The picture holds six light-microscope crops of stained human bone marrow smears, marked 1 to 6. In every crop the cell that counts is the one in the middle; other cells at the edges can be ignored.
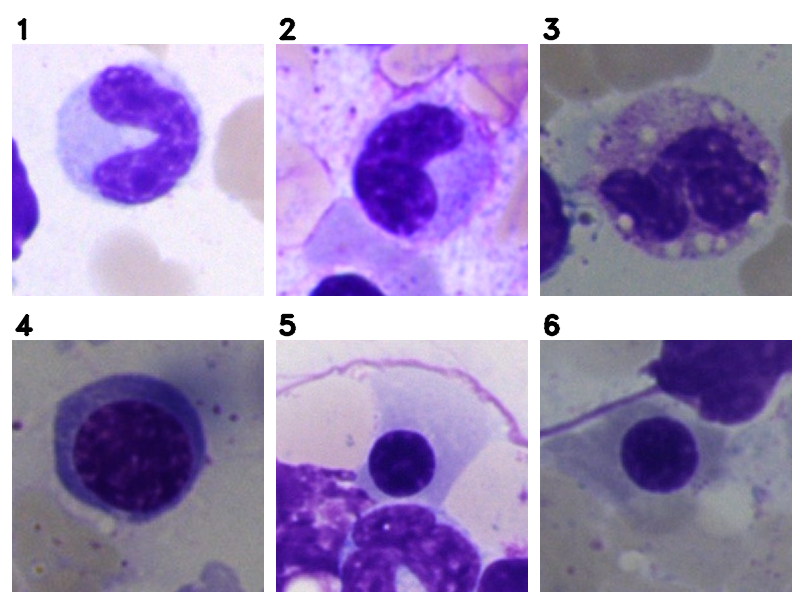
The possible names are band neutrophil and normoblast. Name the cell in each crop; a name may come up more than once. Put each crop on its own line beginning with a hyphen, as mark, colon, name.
- 1: band neutrophil
- 2: band neutrophil
- 3: band neutrophil
- 4: normoblast
- 5: normoblast
- 6: normoblast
